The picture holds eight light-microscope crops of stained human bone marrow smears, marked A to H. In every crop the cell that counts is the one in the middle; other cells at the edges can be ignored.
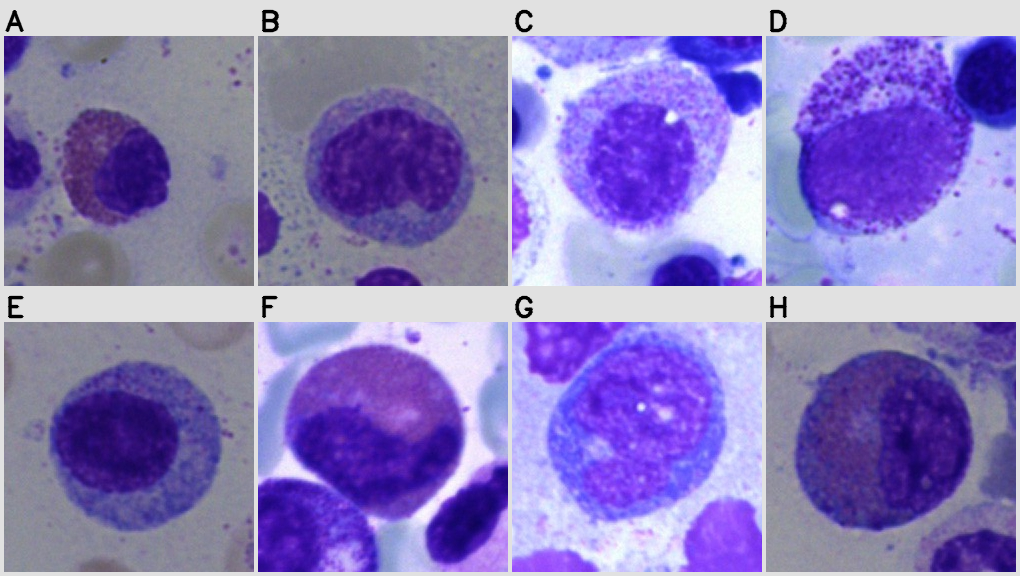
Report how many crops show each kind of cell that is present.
eosinophil: 3
myelocyte: 3
monocyte: 2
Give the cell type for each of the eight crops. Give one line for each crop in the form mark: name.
A: eosinophil
B: monocyte
C: myelocyte
D: myelocyte
E: myelocyte
F: eosinophil
G: monocyte
H: eosinophil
